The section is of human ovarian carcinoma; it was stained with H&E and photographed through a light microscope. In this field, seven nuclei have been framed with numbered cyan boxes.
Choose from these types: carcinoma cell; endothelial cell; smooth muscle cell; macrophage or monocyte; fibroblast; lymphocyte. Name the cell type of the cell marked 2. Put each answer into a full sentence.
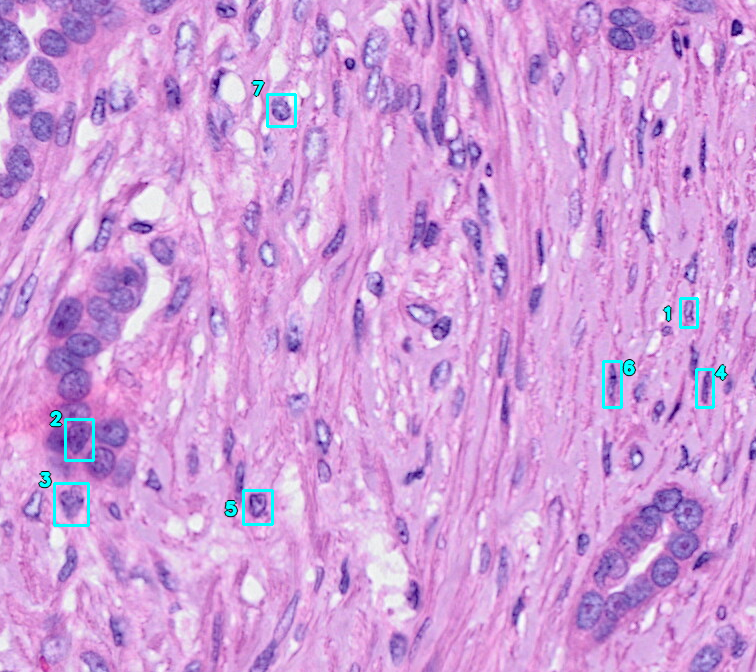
Regarding cell 2, this one is a carcinoma cell.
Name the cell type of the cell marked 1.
In this section, the cell numbered 1 is a fibroblast.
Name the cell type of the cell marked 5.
The cell bearing label 5 corresponds to a macrophage or monocyte.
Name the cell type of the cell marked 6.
The one labeled 6 is a fibroblast, to put it simply.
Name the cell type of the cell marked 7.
The numeral 7 marks a macrophage or monocyte in this section.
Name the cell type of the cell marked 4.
The identity of cell 4 is that of a fibroblast.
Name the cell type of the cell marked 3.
At number 3, the marked cell is a macrophage or monocyte.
